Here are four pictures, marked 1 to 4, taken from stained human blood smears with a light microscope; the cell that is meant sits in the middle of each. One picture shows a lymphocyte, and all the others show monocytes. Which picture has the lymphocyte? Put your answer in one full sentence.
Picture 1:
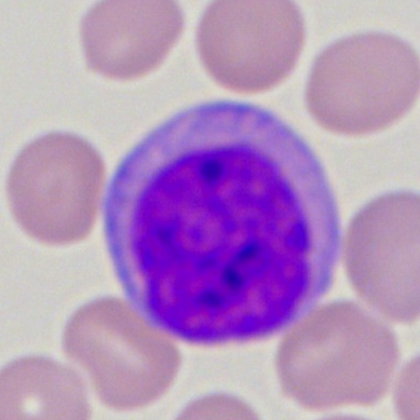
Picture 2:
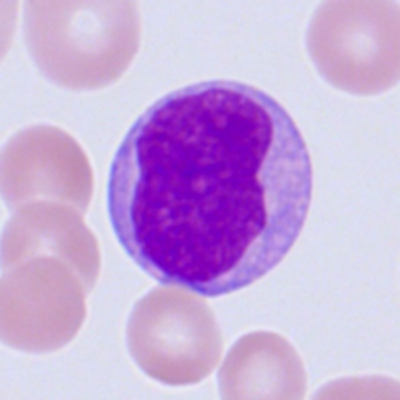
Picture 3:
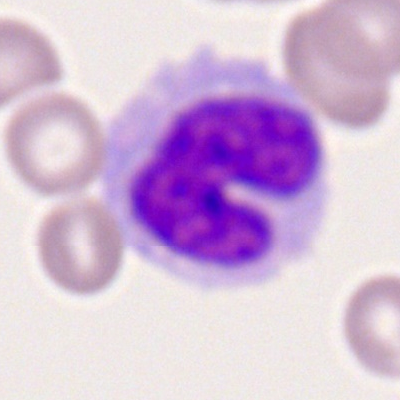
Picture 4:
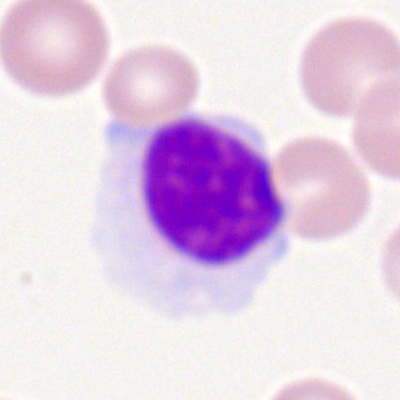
The cell in picture 4 is the lymphocyte.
